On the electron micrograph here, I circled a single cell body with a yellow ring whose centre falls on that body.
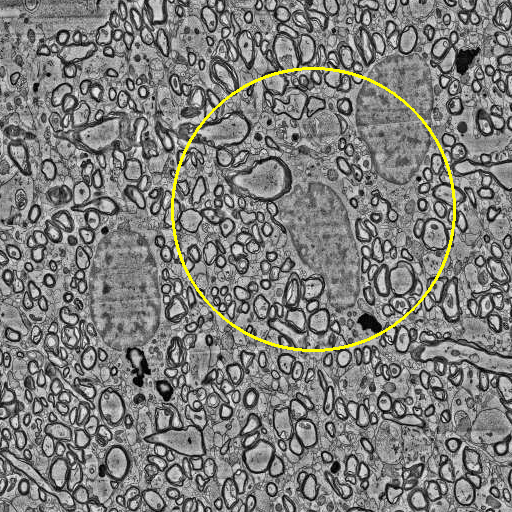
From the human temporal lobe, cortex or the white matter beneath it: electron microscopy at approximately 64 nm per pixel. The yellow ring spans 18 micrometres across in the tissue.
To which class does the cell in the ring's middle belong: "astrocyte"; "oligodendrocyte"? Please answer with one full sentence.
In this picture, the cell body circled at the ring's centre belongs to an oligodendrocyte.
